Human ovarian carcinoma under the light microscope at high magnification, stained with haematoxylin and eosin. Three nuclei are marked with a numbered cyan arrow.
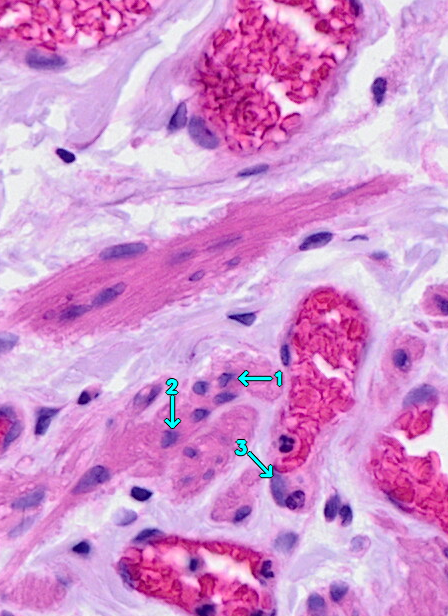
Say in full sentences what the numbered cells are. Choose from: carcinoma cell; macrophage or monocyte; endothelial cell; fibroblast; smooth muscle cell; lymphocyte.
Cell 1 is a smooth muscle cell, cell 2 is a smooth muscle cell and cell 3 is an endothelial cell.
